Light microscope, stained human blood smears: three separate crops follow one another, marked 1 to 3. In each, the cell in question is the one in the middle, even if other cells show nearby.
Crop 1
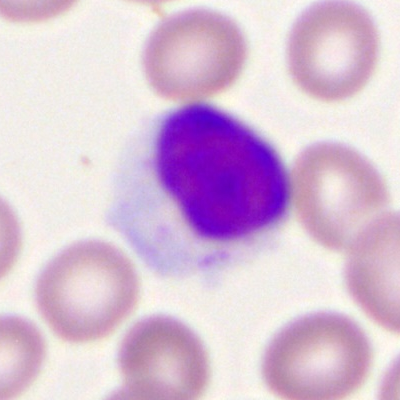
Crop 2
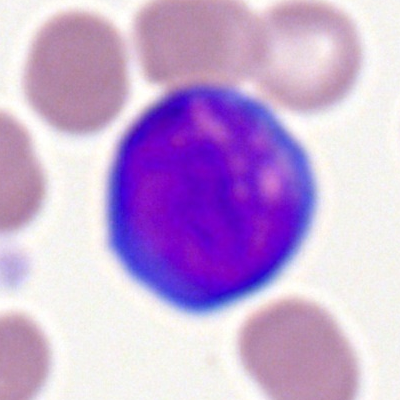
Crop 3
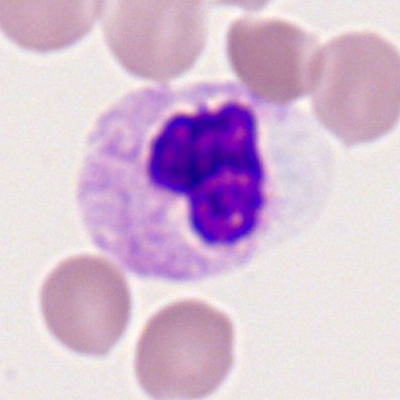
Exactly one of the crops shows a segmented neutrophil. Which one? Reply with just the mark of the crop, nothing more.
3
